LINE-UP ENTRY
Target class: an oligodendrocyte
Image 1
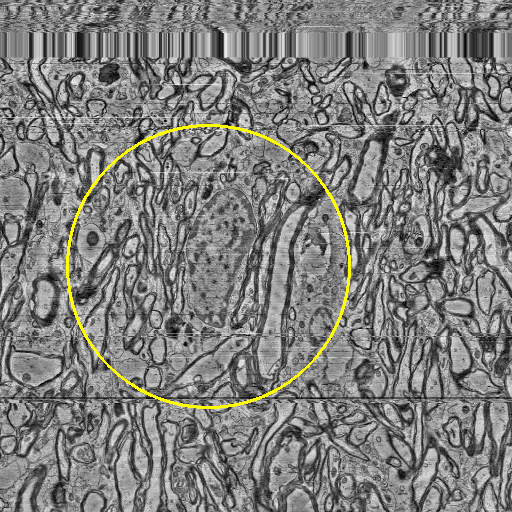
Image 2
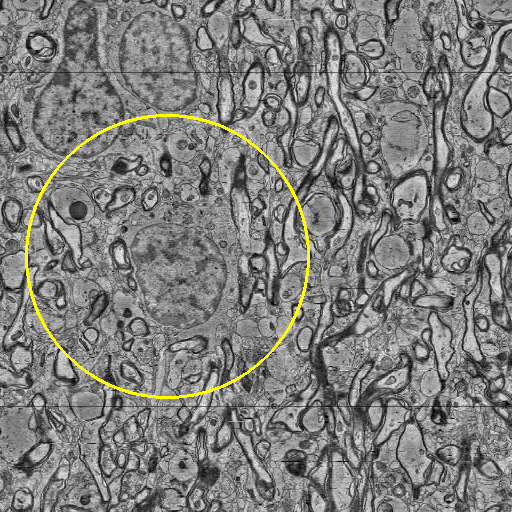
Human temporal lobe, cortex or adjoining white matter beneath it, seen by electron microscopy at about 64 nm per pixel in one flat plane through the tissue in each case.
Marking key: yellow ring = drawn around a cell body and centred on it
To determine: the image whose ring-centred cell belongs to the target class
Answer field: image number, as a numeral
2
